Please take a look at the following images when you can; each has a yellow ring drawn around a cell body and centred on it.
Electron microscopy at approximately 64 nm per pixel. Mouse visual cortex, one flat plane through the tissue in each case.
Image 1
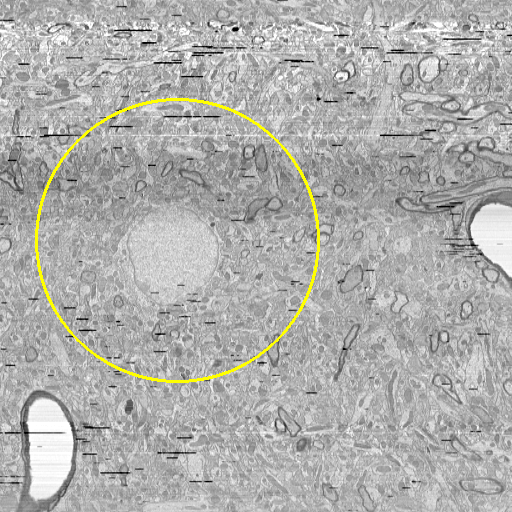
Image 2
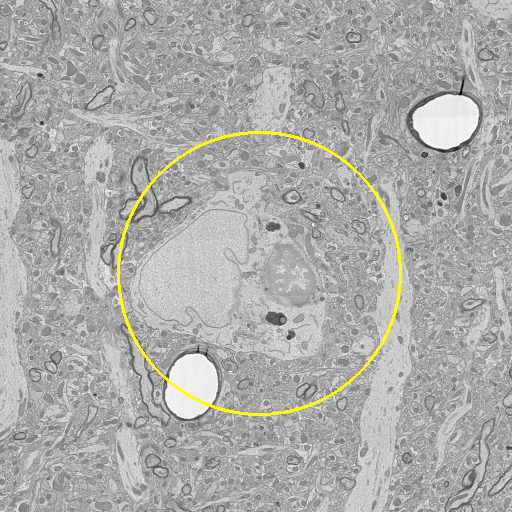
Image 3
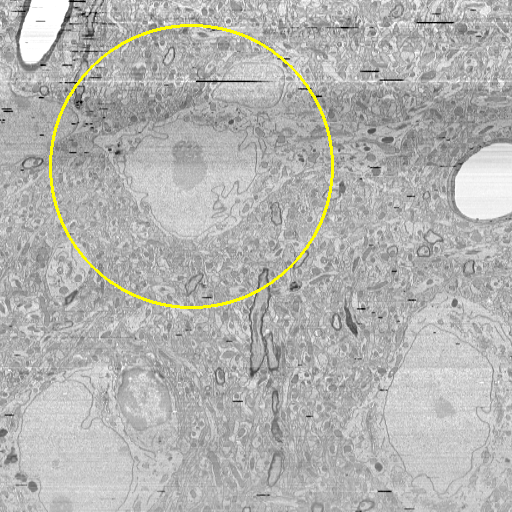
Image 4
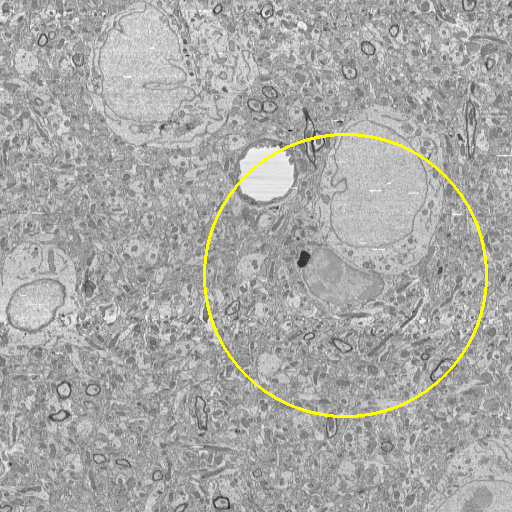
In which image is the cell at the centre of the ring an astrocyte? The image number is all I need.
1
